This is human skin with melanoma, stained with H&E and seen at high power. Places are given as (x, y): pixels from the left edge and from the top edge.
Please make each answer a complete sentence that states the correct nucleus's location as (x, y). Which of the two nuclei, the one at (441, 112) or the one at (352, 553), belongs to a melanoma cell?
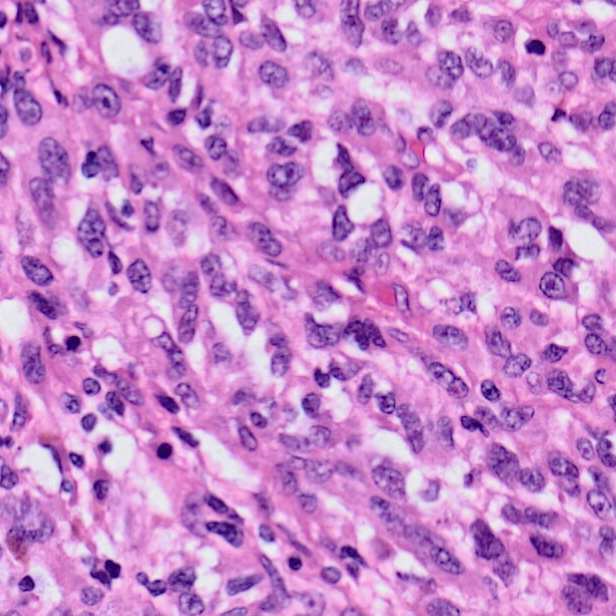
The nucleus lying at (441, 112) is the nucleus of a melanoma cell.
